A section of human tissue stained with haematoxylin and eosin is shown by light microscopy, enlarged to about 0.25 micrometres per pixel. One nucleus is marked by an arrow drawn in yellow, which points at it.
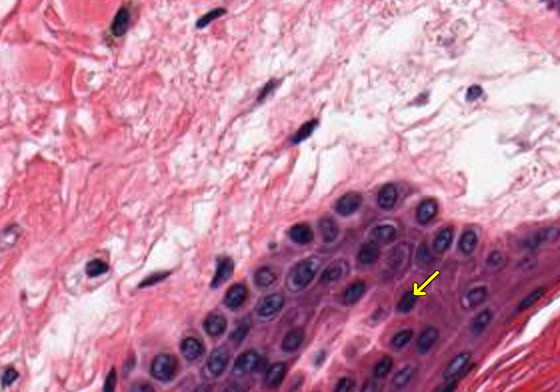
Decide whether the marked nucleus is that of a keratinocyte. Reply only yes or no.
yes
